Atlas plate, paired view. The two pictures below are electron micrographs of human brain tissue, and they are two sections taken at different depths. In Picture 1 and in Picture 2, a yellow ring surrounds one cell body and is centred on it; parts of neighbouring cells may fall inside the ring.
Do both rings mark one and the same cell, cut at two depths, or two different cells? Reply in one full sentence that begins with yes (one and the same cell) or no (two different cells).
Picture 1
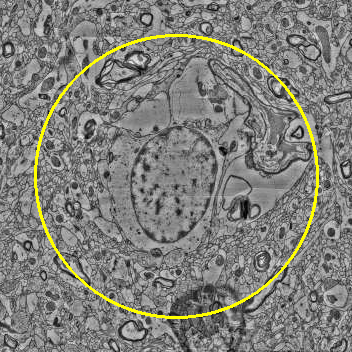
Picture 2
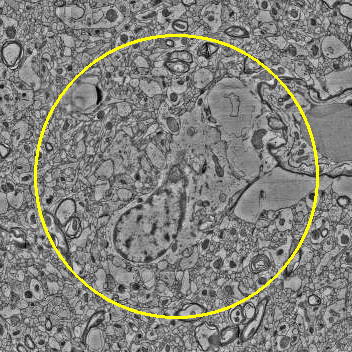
Yes, both rings identify a single, shared cell.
